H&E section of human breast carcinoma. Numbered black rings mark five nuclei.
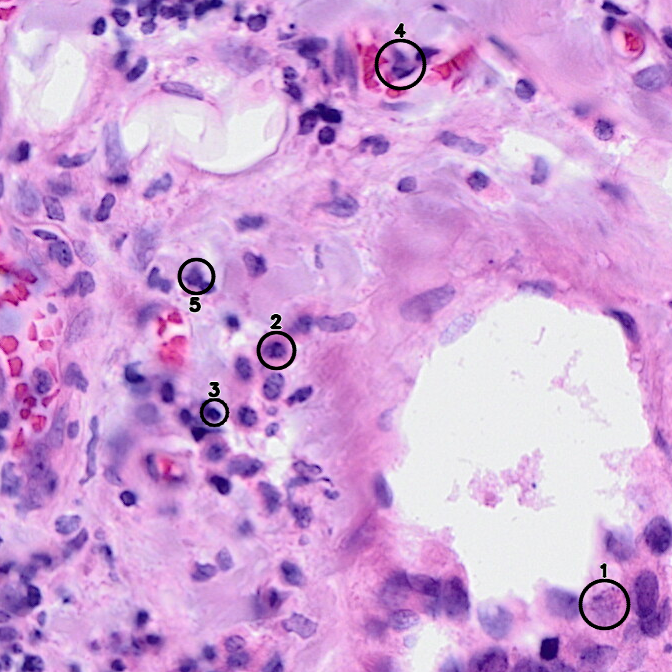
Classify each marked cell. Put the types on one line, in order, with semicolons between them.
carcinoma cell; mast cell; lymphocyte; endothelial cell; lymphocyte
